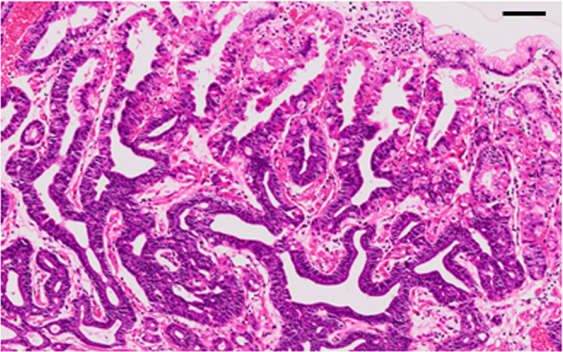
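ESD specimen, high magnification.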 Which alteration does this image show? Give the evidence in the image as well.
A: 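Irregularly shaped glands. Glands are branched, angulated and fused rather than round and regular. Gland lining is crowded with enlarged, dark, elongated nuclei.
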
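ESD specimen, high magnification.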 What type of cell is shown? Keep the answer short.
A: Atypical glandular cells.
